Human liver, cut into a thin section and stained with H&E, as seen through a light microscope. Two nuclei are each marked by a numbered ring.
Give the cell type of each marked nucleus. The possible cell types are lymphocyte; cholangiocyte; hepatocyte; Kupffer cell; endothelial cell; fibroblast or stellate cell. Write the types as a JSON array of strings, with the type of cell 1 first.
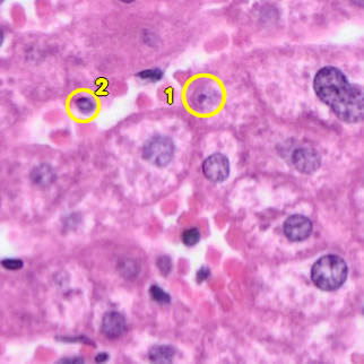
["hepatocyte", "lymphocyte"]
